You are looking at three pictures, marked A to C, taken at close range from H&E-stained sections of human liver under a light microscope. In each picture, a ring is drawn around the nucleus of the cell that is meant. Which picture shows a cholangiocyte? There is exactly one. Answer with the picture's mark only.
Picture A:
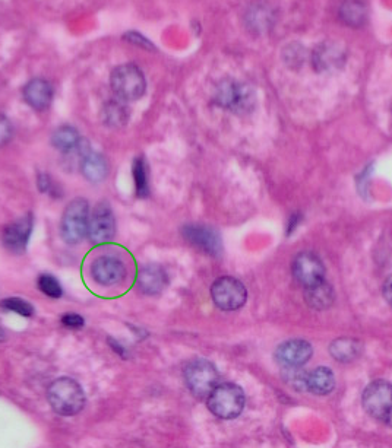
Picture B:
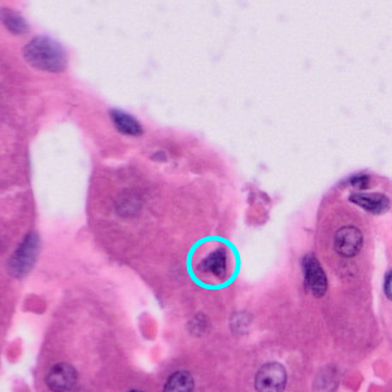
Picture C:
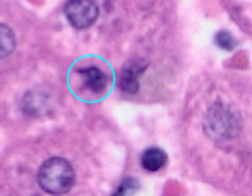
A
